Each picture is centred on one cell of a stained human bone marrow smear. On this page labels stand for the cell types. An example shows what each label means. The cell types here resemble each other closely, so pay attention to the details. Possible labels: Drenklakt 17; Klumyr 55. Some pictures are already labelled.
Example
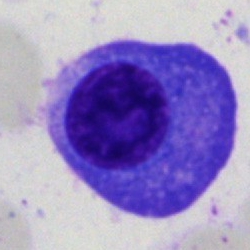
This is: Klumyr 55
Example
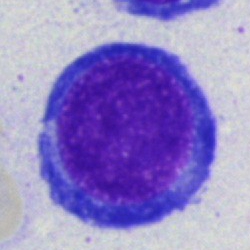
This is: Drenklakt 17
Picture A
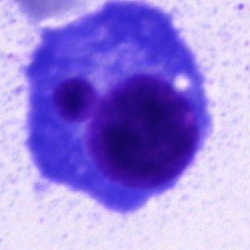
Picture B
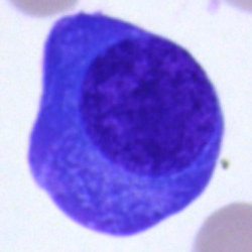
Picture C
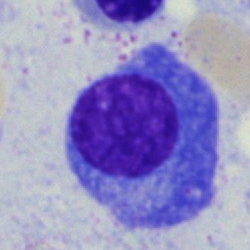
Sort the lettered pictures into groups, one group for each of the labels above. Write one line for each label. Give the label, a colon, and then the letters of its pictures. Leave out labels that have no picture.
Klumyr 55: A, B, C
